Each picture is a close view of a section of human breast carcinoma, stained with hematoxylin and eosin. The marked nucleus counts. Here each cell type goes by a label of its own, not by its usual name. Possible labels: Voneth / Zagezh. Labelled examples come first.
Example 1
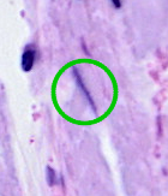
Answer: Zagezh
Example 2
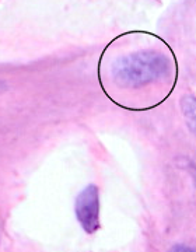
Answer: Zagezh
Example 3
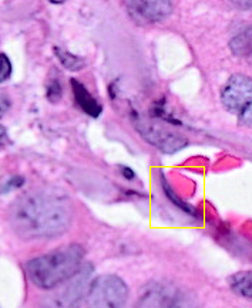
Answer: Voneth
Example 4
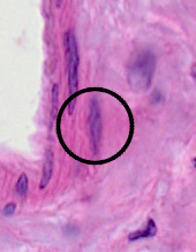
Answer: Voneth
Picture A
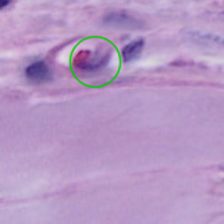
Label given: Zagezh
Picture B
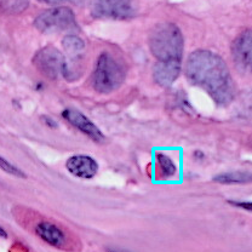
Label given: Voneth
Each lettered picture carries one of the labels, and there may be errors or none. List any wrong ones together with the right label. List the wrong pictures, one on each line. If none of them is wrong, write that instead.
A: Voneth, not Zagezh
